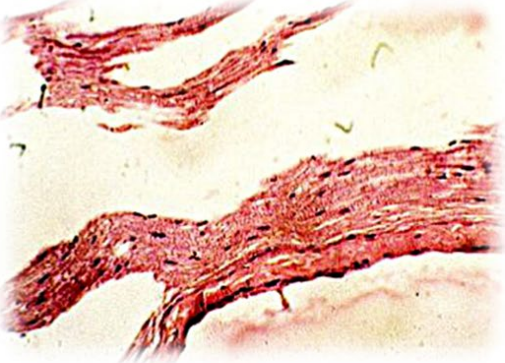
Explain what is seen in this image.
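A longitudinal section of peripheral nerve showing two strands of deep pink fibres crossing a largely empty field. The fibres run parallel within each strand, with a streaky, wavy texture. Dark, slender, elongated nuclei are distributed along the strands, oriented with the fibres. The lower strand is thicker, and its fibres look broader and more irregular in places, with small clear gaps between them. The wide pale areas between the strands contain no tissue.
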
